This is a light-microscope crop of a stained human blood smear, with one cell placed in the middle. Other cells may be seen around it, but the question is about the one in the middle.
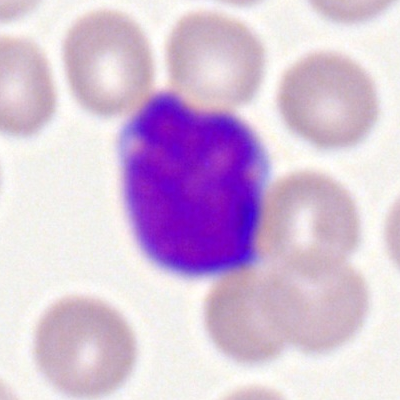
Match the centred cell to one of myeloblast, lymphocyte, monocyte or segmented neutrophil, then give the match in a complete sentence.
The cell of interest, in the center, is a myeloblast.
